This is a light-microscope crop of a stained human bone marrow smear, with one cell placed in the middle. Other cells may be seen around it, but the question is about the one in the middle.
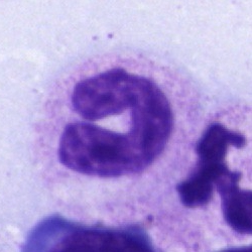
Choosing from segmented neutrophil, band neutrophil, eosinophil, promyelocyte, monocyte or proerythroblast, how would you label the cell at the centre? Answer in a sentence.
The cell around which this crop is centred is a band neutrophil.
